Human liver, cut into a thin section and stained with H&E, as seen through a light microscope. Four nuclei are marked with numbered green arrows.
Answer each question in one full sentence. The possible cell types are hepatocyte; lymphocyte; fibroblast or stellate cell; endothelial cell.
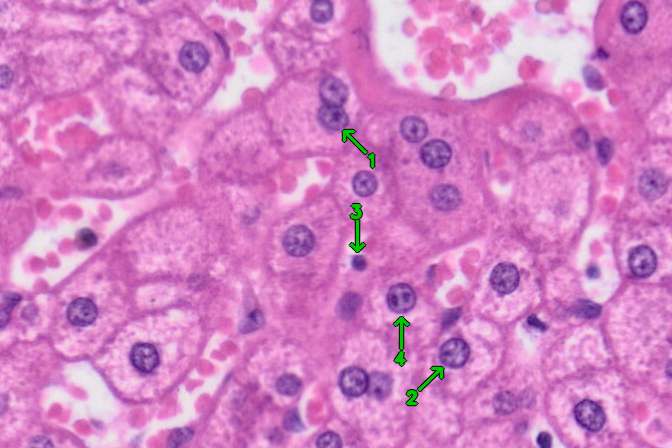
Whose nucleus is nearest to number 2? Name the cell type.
Closest to number 2 lies the nucleus of a fibroblast or stellate cell.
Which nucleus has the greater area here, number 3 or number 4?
Nucleus 4 covers more area, about 3 times as much as nucleus 3.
